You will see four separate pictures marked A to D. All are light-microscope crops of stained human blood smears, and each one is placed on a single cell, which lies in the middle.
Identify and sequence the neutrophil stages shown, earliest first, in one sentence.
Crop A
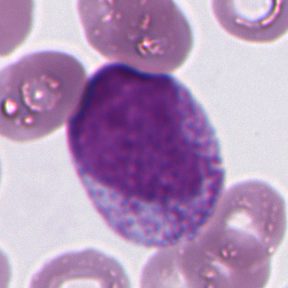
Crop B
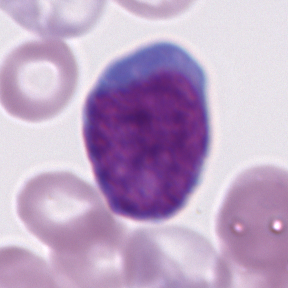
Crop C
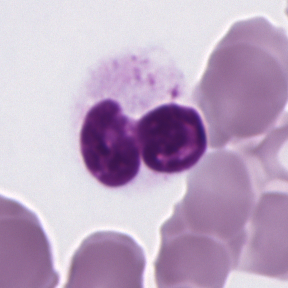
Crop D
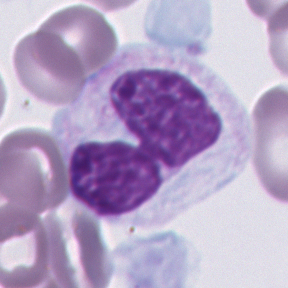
Lined up by maturity, least mature to most mature, they are crop B (a myeloblast), crop A (a myelocyte), crop D (a band neutrophil) and crop C (a segmented neutrophil).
